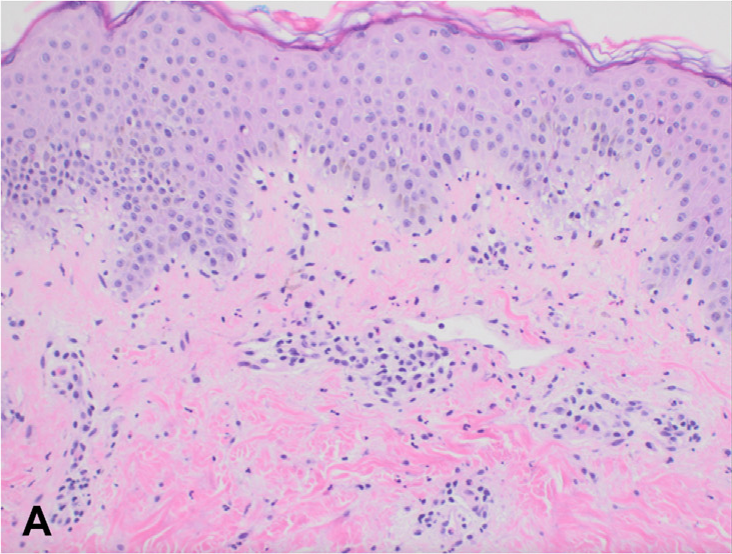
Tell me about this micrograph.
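Skin with epidermis above and dermis below. The epidermis is a stratified layer of keratinocytes with round to oval pale nuclei, topped by a thin basket-weave pink and purple cornified layer; the basal layer shows more crowded, darker nuclei, and some small clear spaces lie between cells in the lower epidermis. In the pink dermis beneath, small blood vessels are surrounded by clusters of small cells with dark nuclei, forming a perivascular inflammatory infiltrate, and further such cells are scattered between the wavy collagen bundles. A few inflammatory cells lie close to the junction between epidermis and dermis.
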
